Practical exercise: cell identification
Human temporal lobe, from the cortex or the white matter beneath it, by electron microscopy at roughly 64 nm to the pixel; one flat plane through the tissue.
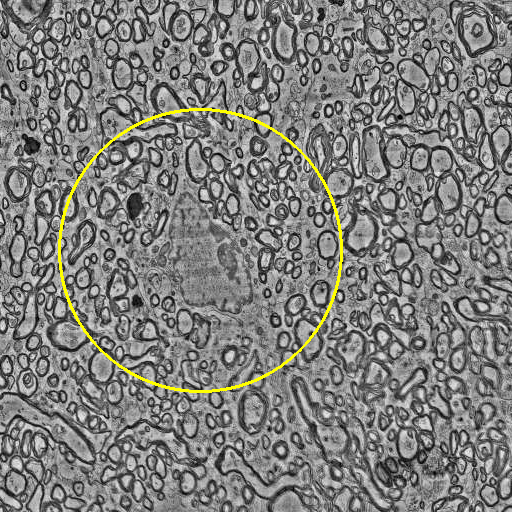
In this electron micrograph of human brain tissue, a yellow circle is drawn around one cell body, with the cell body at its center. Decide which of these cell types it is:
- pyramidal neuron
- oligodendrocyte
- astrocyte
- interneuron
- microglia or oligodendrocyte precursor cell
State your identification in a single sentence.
The ringed cell is an astrocyte.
